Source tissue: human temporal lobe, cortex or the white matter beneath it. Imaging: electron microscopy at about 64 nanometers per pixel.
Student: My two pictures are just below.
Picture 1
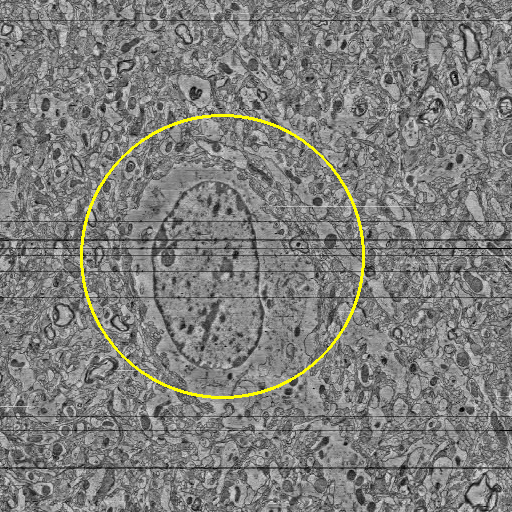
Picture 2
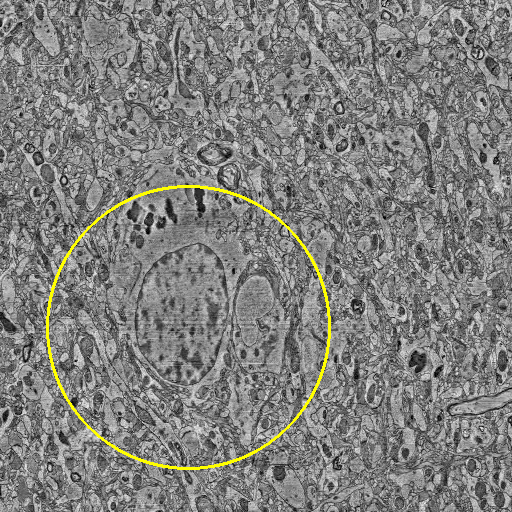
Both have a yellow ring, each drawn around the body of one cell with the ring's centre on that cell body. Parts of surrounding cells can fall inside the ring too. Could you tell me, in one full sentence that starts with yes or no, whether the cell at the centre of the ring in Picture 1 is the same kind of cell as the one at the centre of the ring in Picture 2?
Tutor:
Yes, the two cells are of the same kind.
